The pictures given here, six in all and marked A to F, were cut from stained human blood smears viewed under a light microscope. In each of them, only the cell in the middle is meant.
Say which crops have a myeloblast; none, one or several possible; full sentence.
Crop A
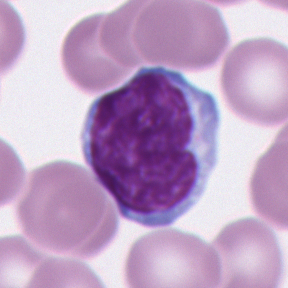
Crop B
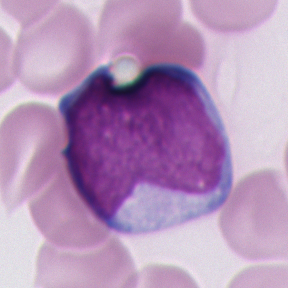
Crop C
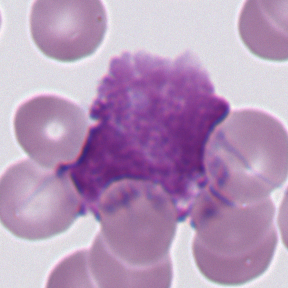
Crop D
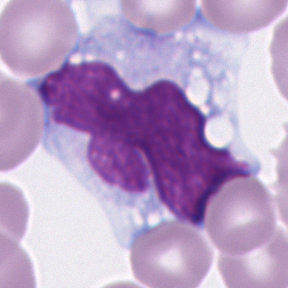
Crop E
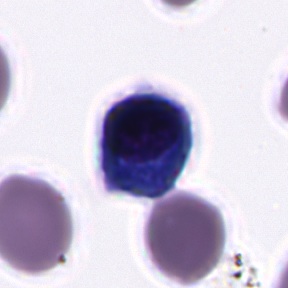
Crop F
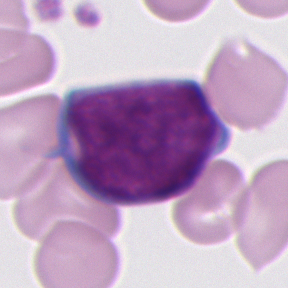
In crops B and F, the central cells are myeloblasts.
